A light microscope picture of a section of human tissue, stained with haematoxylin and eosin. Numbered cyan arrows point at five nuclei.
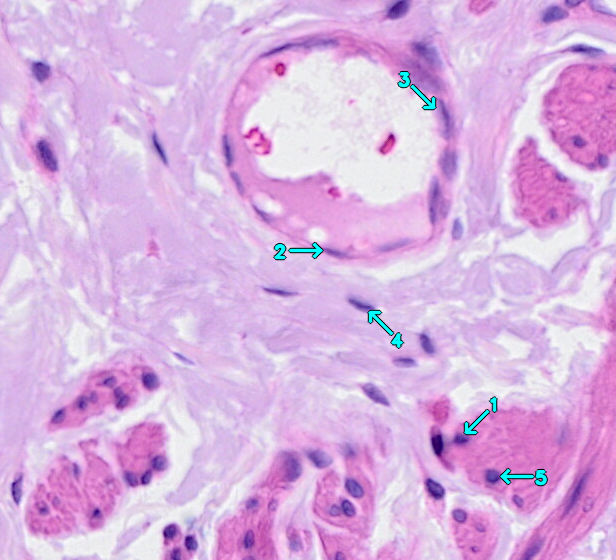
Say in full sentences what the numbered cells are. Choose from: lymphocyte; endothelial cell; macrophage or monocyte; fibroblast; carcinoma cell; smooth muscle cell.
Cell 1 is a smooth muscle cell, cell 2 is an endothelial cell, cell 3 is an endothelial cell, cell 4 is a fibroblast and cell 5 is a smooth muscle cell.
